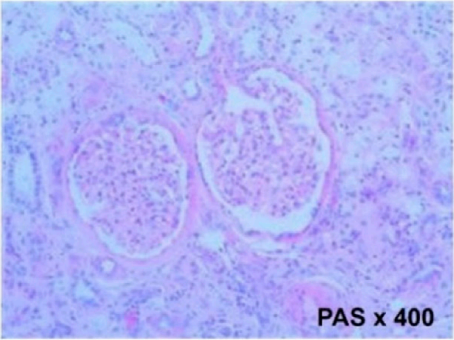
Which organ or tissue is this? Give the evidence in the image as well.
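Two round tufts of capillary loops sit side by side in the centre. Each tuft is surrounded by a clear space and a thin capsule. Tubules and interstitium surround them. That points to this answer: glomeruli.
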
